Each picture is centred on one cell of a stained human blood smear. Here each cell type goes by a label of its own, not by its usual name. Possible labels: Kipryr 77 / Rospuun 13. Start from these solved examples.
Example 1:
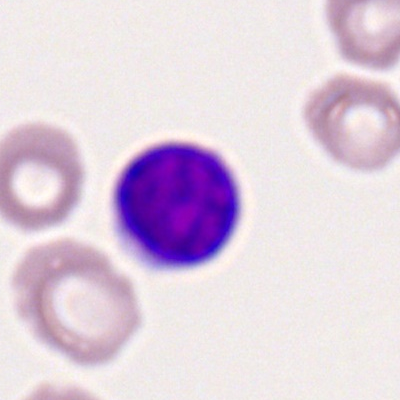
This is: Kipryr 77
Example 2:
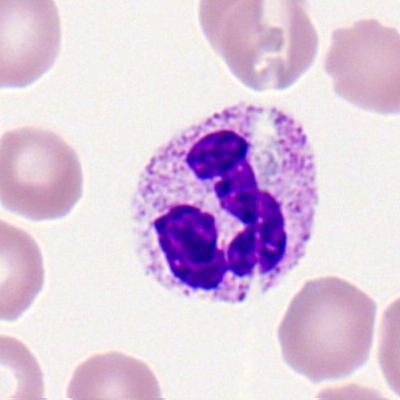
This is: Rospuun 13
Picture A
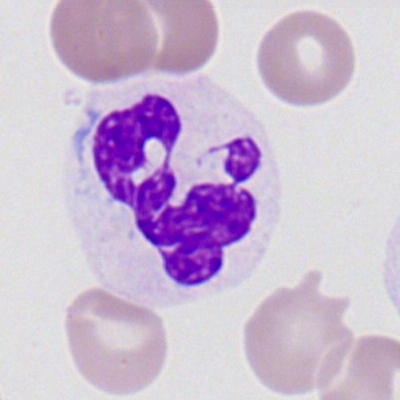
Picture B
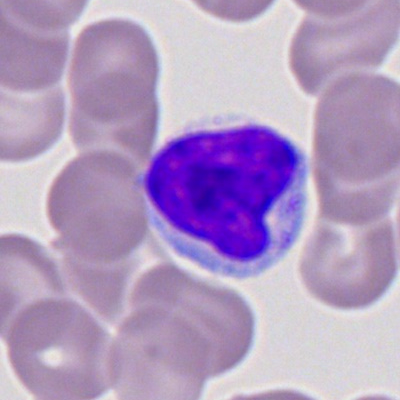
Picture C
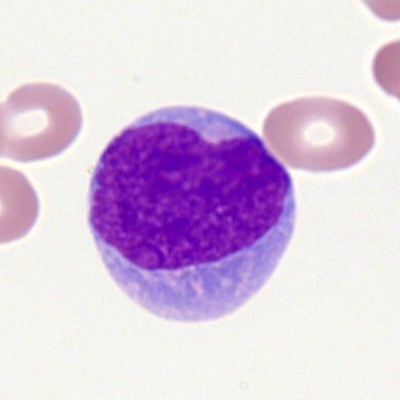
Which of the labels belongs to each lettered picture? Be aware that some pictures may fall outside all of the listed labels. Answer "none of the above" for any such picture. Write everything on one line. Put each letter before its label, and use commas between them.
A Rospuun 13, B Kipryr 77, C none of the above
